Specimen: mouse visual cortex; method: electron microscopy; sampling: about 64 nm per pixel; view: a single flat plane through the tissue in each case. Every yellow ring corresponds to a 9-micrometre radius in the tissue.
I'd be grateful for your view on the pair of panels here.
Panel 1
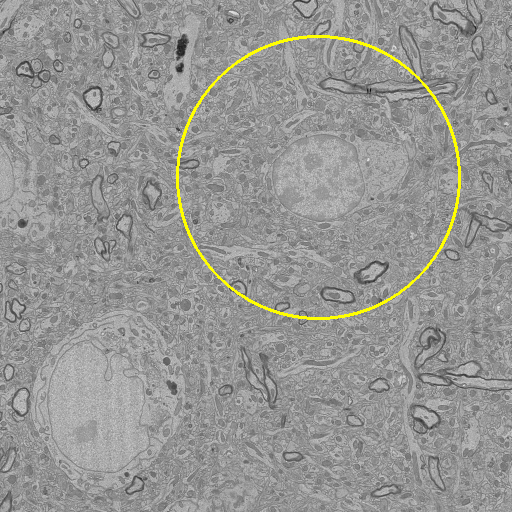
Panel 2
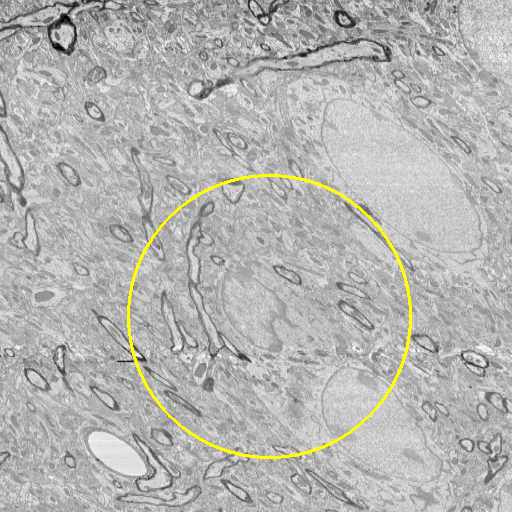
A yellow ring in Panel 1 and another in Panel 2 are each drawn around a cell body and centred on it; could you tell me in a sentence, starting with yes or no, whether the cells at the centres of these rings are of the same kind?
Yes, they are the same kind of cell.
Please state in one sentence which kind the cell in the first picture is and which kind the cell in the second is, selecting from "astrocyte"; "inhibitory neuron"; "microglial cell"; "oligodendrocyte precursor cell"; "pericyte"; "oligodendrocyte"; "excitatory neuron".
The cell at the ring centre is an oligodendrocyte in both pictures.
